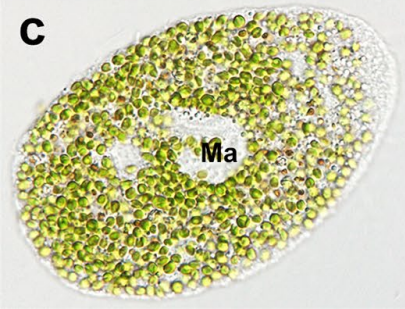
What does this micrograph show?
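A single large oval ciliate cell whose cytoplasm is packed with hundreds of small round green symbiotic algae. A clear, alga-free region near the centre holds the macronucleus, and a thin clear rim at the cell edge is also largely free of algae.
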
